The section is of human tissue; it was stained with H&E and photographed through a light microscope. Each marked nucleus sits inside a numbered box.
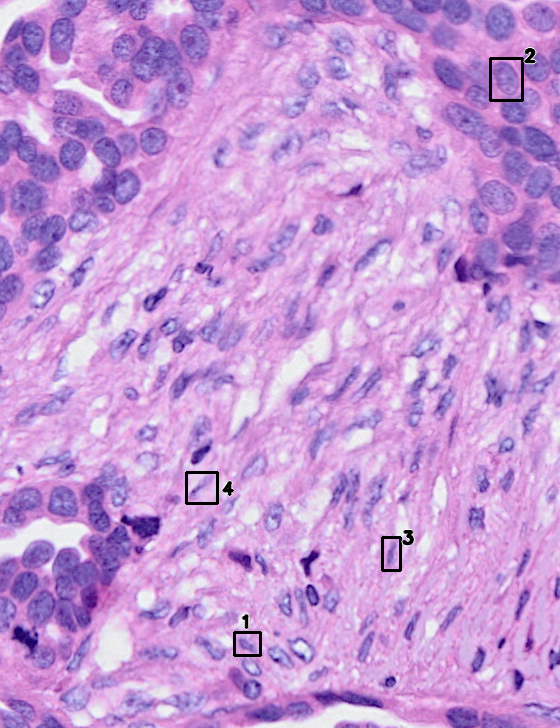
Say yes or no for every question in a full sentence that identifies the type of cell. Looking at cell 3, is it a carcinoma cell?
No, the marker 3 sits on a fibroblast, not on a carcinoma cell.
